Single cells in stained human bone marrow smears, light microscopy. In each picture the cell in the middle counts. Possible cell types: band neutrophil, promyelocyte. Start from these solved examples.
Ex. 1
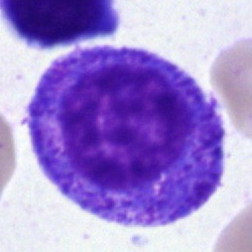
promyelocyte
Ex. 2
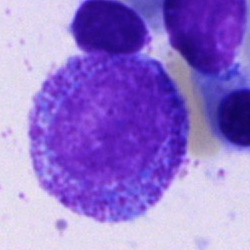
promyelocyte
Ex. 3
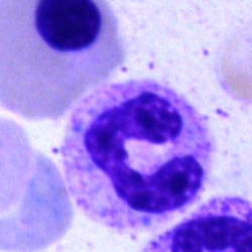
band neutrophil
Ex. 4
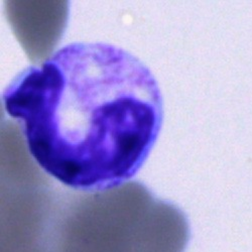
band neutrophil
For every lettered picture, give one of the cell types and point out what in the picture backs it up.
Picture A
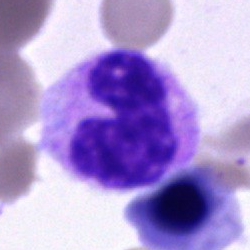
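band neutrophil. Reason: The nucleus is deeply indented, giving it a folded, horseshoe-like shape.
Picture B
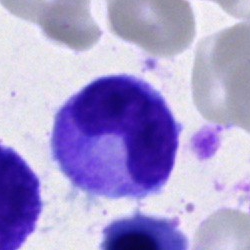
band neutrophil. Reason: The nucleus is indented, curving like a horseshoe around a notch that opens toward the lower left.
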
